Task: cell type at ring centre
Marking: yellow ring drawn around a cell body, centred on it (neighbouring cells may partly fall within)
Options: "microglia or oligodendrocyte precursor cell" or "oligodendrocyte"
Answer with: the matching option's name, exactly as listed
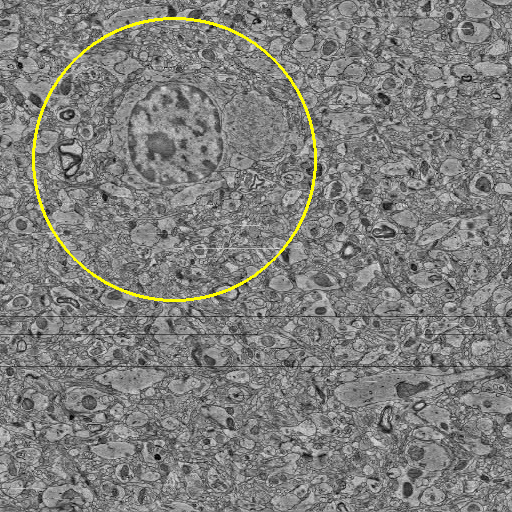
microglia or oligodendrocyte precursor cell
